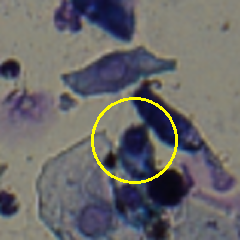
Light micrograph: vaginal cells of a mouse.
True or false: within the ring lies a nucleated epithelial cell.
True: a nucleated epithelial cell lies within the ring.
